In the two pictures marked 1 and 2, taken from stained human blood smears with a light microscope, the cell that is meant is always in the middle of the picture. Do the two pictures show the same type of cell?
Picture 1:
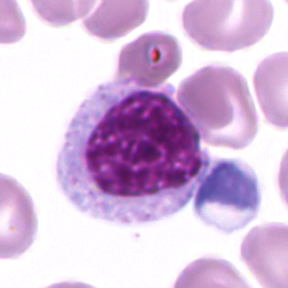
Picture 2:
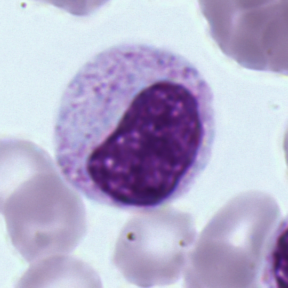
yes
